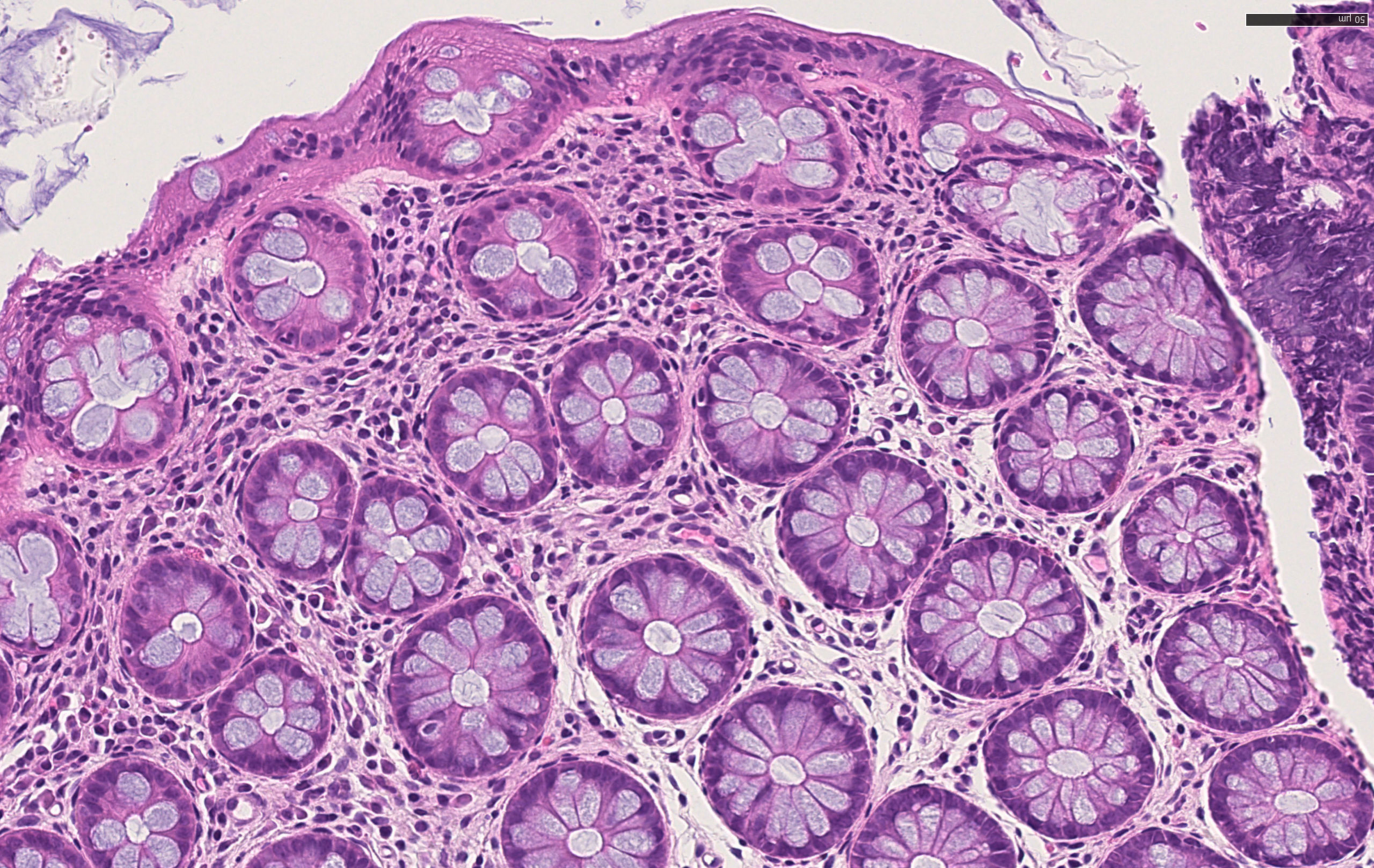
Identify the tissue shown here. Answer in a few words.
Colonic mucosa.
